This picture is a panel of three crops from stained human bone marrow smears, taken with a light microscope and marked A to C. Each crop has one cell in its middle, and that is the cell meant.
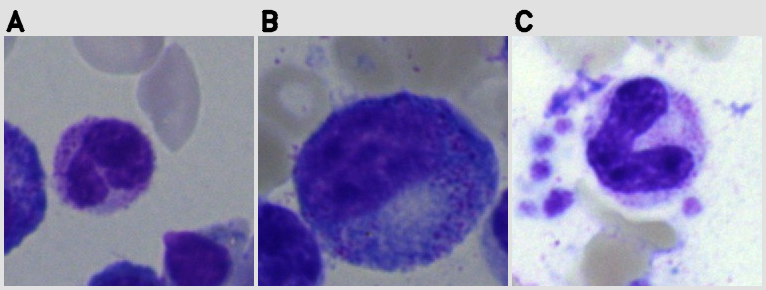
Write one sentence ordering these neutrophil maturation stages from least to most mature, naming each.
Sequenced by maturity from least to most, the crops are crop B (a promyelocyte), crop C (a band neutrophil) and crop A (a segmented neutrophil).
